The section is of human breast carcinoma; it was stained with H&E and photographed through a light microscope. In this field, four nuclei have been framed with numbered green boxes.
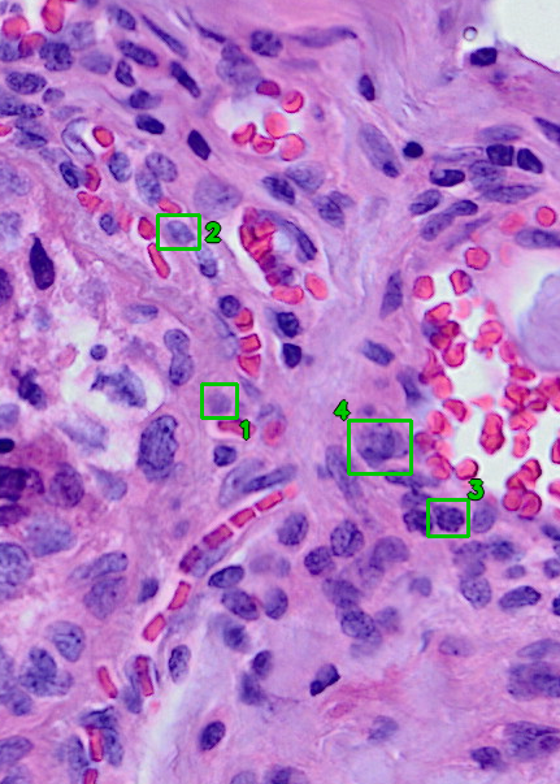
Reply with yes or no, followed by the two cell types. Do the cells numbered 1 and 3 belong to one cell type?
No, hold on, cell 1 is an endothelial cell and cell 3 is a lymphocyte.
